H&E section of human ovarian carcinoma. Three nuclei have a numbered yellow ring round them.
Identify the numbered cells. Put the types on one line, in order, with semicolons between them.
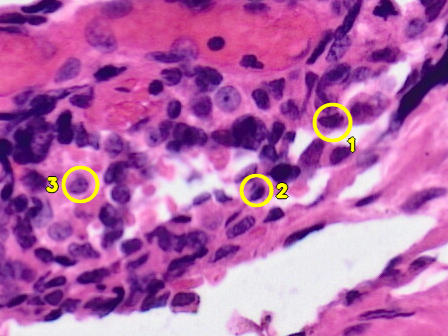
carcinoma cell; macrophage or monocyte; macrophage or monocyte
